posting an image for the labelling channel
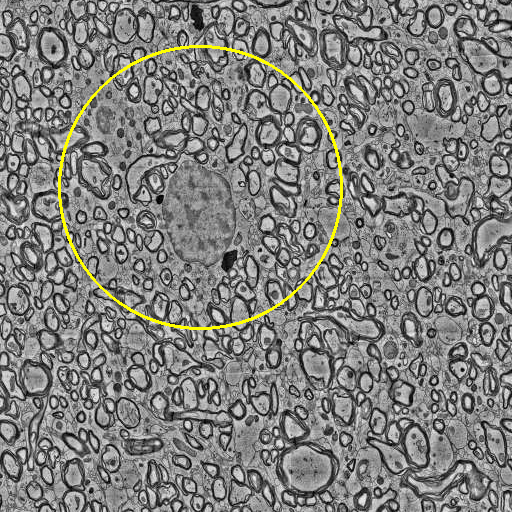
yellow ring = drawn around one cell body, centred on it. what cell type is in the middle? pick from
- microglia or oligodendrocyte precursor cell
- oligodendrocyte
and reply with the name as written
oligodendrocyte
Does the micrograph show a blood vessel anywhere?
No, no blood vessel can be seen.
